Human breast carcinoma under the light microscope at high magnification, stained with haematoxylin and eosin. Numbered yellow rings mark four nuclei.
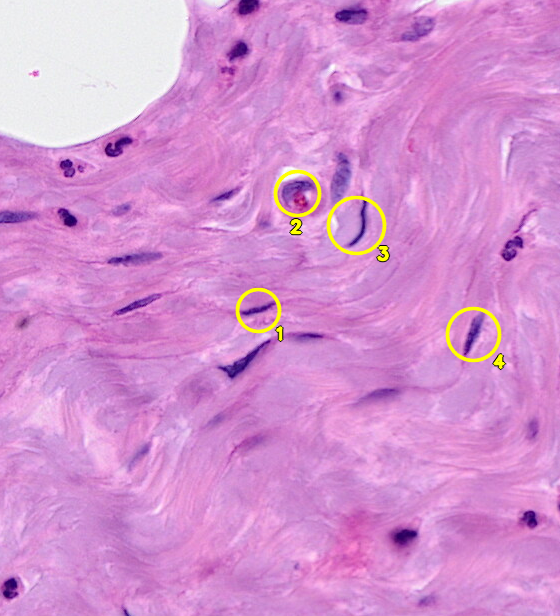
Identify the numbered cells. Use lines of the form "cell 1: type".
cell 1: fibroblast
cell 2: endothelial cell
cell 3: fibroblast
cell 4: fibroblast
